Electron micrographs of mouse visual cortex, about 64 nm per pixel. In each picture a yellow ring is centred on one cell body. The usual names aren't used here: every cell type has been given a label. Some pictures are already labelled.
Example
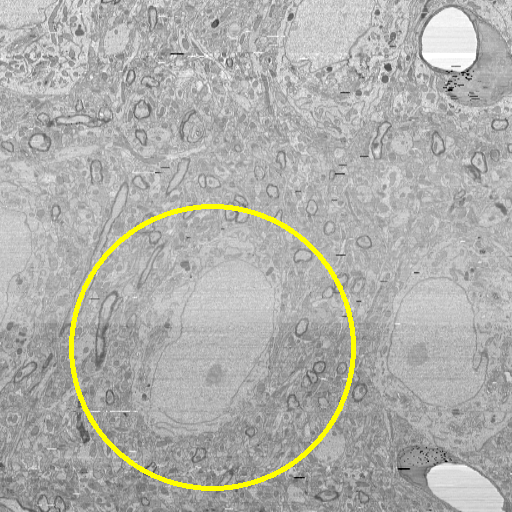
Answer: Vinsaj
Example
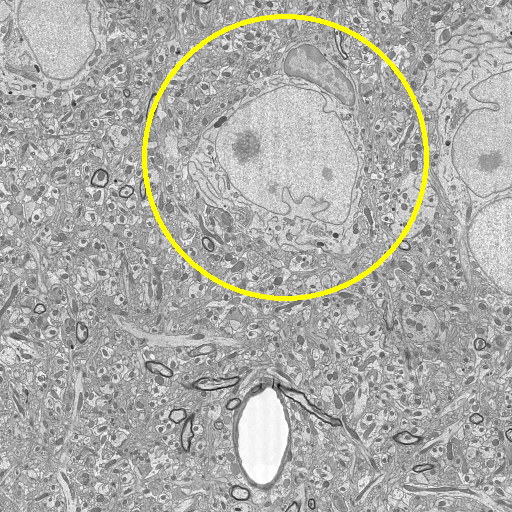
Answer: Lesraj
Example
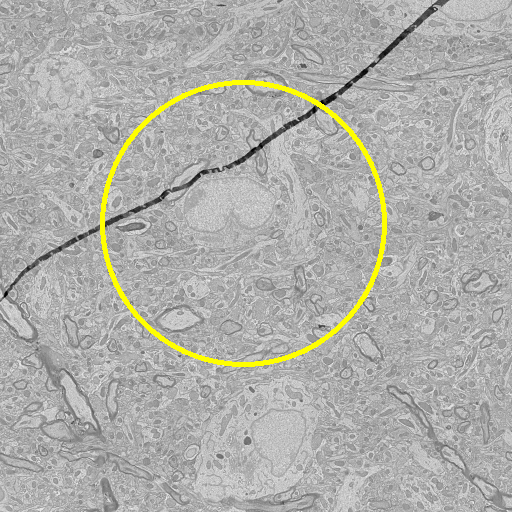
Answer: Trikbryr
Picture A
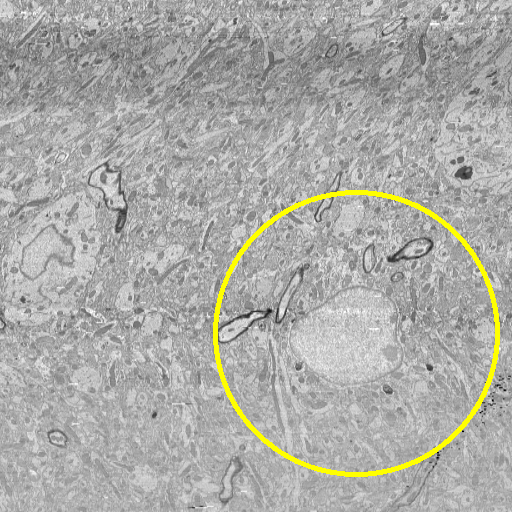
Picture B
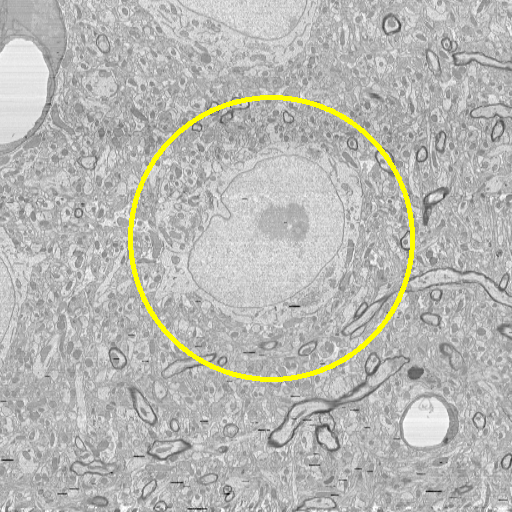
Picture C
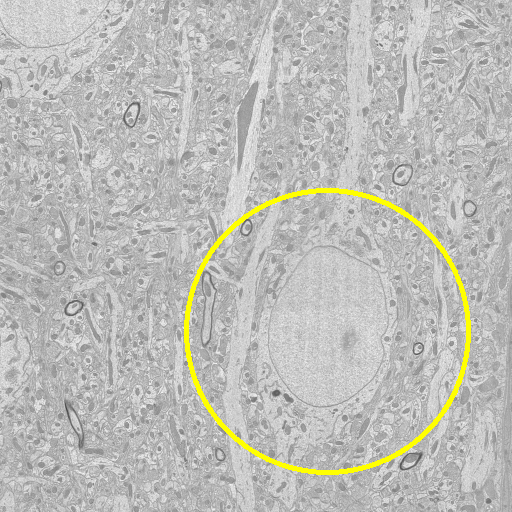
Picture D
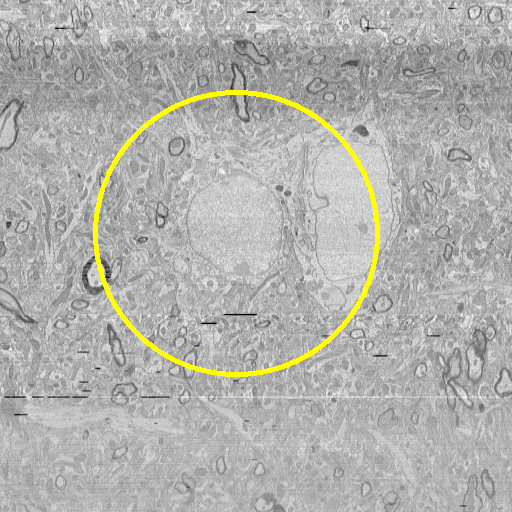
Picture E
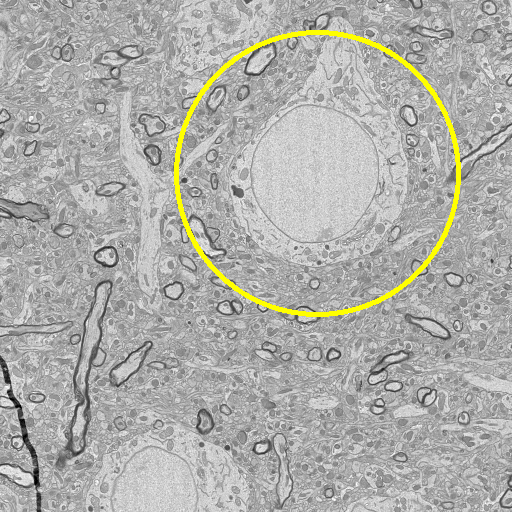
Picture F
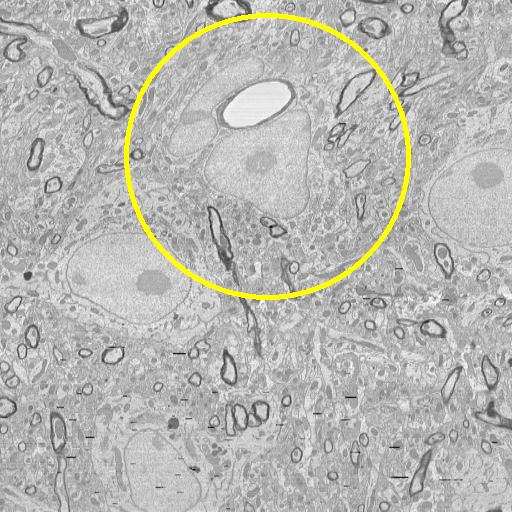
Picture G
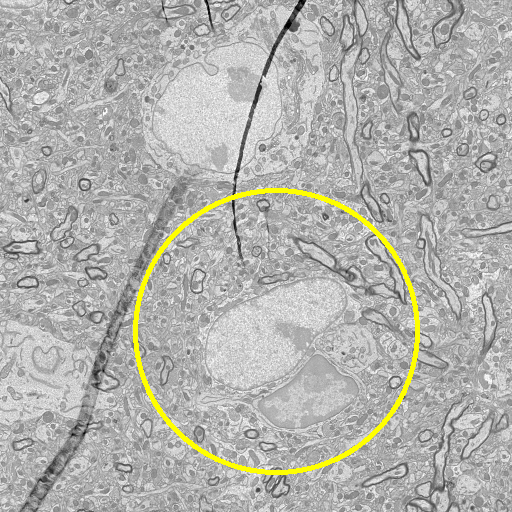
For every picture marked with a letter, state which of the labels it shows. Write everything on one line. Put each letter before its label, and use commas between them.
A Trikbryr, B Vinsaj, C Vinsaj, D Trikbryr, E Vinsaj, F Trikbryr, G Trikbryr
